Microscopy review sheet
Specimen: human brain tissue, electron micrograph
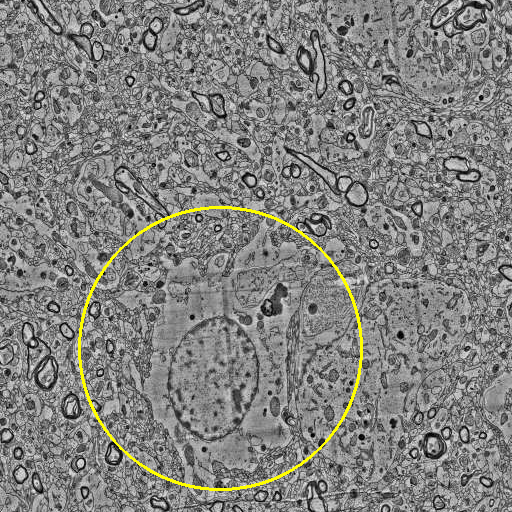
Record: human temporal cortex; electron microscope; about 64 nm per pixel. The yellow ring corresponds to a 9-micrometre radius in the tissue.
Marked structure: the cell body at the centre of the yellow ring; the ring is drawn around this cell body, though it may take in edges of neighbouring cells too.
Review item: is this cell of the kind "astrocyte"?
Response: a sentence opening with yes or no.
Yes, this cell is of that kind.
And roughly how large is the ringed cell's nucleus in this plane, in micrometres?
About 8 by 6 micrometers, in this plane.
